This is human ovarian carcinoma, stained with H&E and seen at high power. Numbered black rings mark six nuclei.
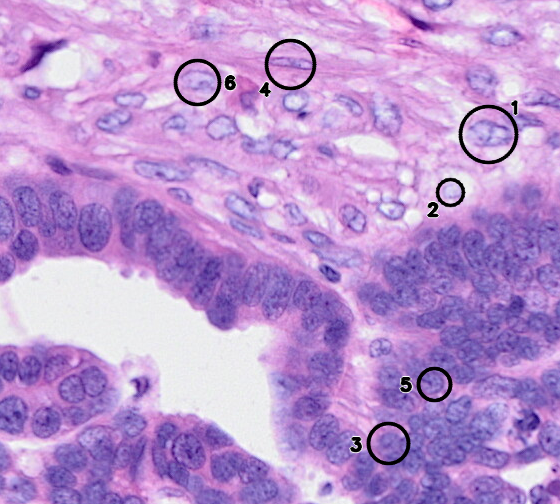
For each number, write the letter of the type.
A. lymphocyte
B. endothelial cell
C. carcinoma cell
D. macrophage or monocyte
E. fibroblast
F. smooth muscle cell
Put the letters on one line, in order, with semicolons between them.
E; E; C; E; C; E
